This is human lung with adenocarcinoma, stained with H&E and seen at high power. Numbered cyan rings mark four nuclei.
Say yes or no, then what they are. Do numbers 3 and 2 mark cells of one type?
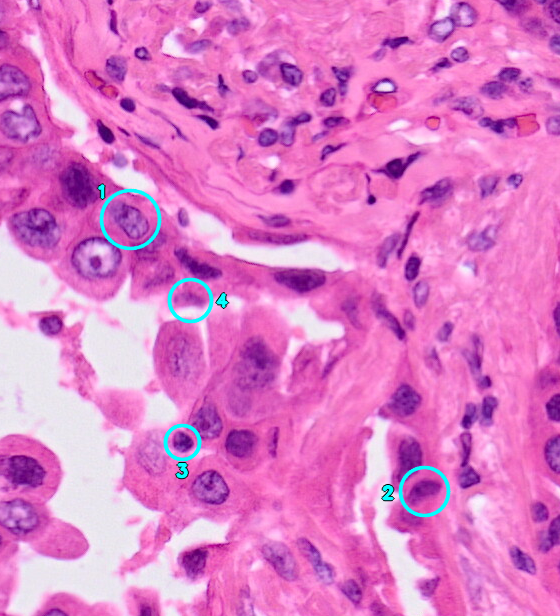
No, cell 3 is a lymphocyte and cell 2 is a carcinoma cell.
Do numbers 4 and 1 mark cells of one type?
Yes, both are carcinoma cells.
